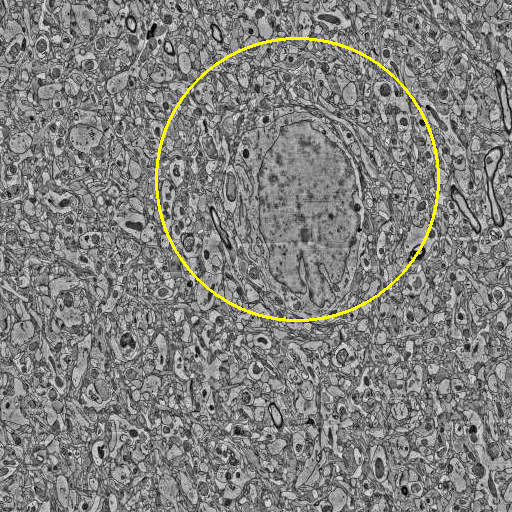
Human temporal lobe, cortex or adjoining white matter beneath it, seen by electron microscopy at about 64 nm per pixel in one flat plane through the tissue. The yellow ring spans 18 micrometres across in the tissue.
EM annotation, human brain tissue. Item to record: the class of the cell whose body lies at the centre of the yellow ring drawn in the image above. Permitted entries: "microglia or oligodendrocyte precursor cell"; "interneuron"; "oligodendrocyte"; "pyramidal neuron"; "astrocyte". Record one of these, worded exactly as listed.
interneuron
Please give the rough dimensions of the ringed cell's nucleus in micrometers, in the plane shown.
About 11 by 7 micrometres, the nucleus being clearly longer than it is wide in this plane.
